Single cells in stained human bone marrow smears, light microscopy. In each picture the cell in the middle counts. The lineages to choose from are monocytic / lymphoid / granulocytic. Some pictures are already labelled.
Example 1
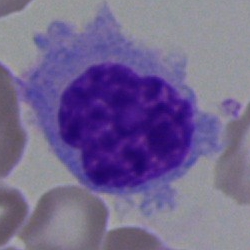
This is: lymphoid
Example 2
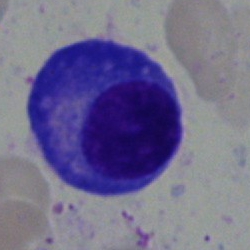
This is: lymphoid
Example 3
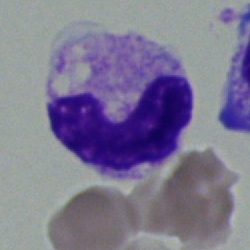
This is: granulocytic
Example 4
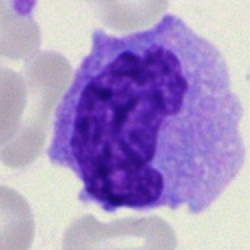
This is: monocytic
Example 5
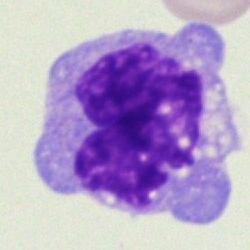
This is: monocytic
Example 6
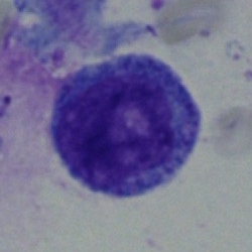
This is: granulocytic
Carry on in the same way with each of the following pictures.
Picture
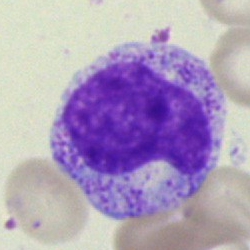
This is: granulocytic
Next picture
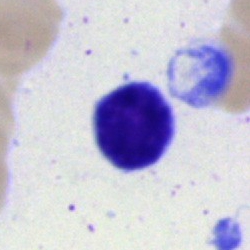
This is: lymphoid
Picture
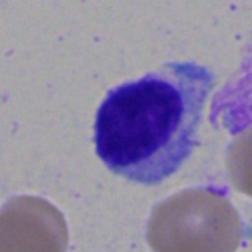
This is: lymphoid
